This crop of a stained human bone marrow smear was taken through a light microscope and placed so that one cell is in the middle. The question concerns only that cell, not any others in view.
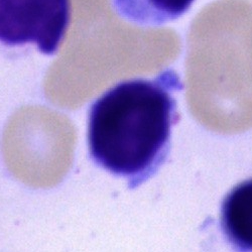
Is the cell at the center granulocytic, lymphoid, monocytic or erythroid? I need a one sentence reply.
Assigned to the lymphoid lineage is the cell at the center.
